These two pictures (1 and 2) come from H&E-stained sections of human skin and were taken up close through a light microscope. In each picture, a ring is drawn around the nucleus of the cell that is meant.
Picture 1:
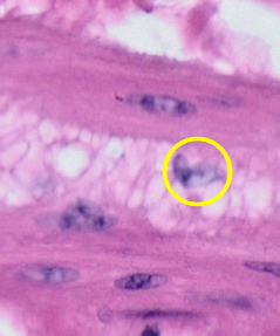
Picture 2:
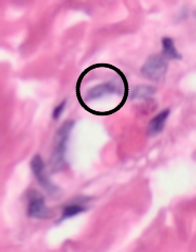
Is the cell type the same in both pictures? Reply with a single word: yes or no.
no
